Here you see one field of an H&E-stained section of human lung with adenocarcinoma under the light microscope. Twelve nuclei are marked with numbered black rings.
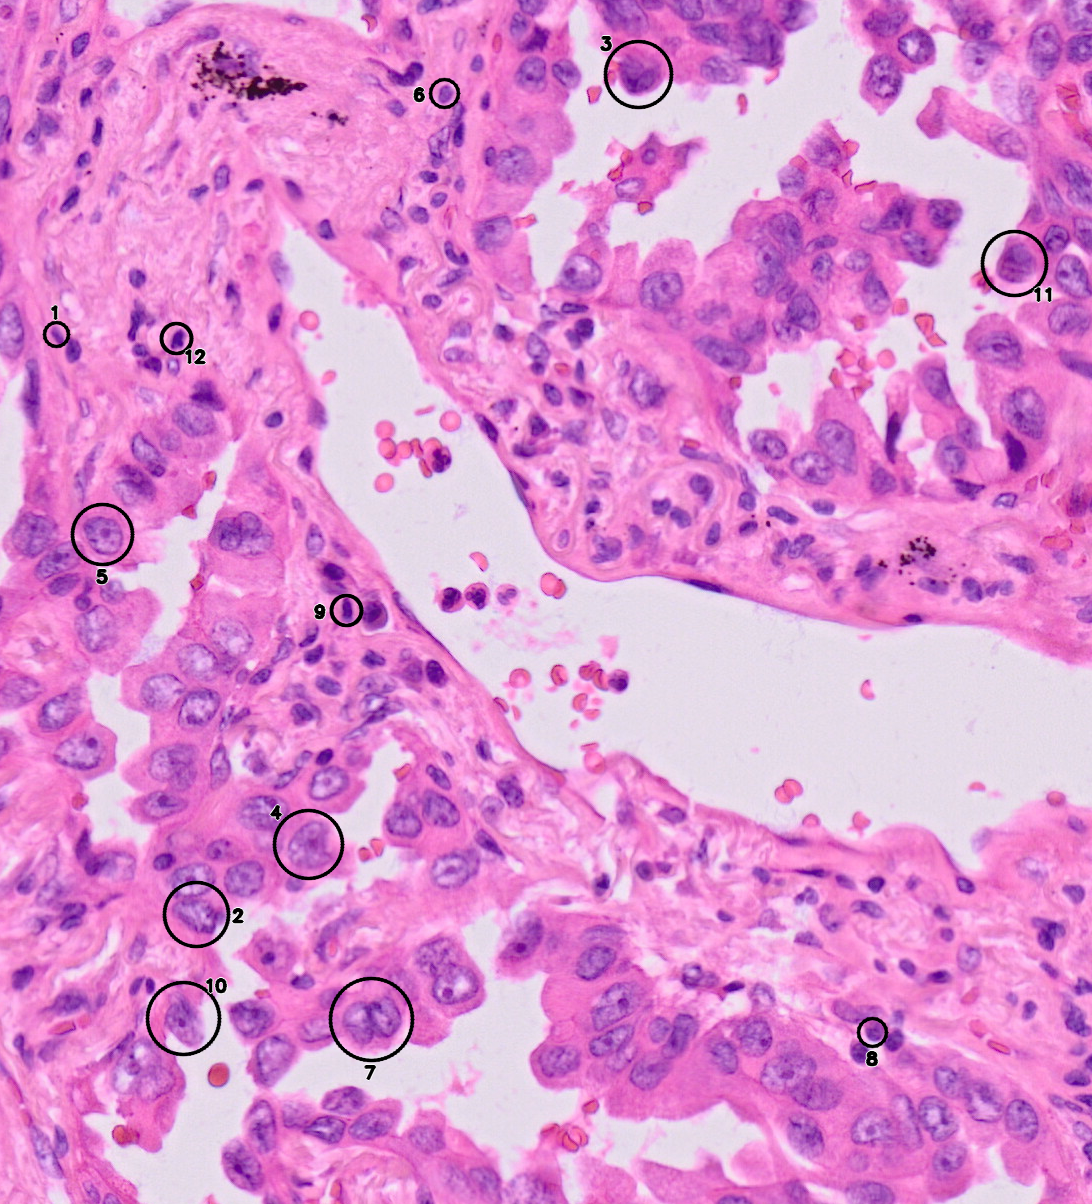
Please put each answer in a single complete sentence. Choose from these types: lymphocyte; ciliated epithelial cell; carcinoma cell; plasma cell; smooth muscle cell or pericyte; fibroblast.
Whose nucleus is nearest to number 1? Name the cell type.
The nucleus nearest to number 1 is that of a lymphocyte.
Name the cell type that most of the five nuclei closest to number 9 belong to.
Of the five nuclei nearest to number 9, most belong to plasma cells.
